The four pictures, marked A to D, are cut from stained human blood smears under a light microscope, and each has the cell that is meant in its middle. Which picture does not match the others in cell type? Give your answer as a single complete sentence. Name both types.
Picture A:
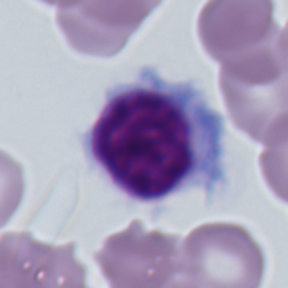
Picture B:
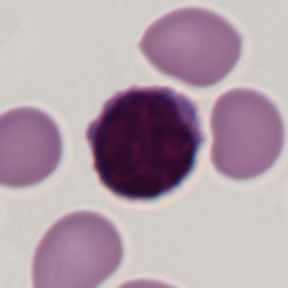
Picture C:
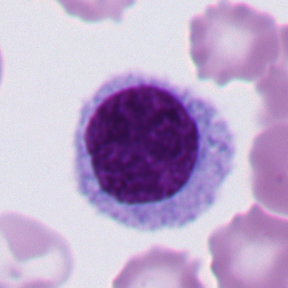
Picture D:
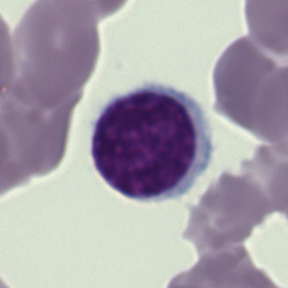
Picture B is the odd one out: it shows a typical lymphocyte, while the others show hairy cells.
